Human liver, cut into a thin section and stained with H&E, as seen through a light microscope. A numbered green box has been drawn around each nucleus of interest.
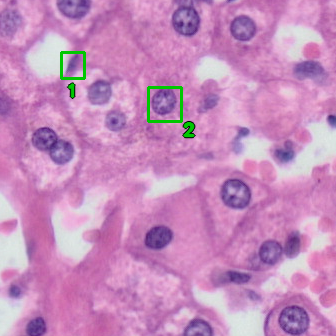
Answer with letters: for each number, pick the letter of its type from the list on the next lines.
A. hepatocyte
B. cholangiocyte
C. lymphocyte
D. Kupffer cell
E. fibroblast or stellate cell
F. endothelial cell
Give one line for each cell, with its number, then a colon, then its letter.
1: F
2: A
